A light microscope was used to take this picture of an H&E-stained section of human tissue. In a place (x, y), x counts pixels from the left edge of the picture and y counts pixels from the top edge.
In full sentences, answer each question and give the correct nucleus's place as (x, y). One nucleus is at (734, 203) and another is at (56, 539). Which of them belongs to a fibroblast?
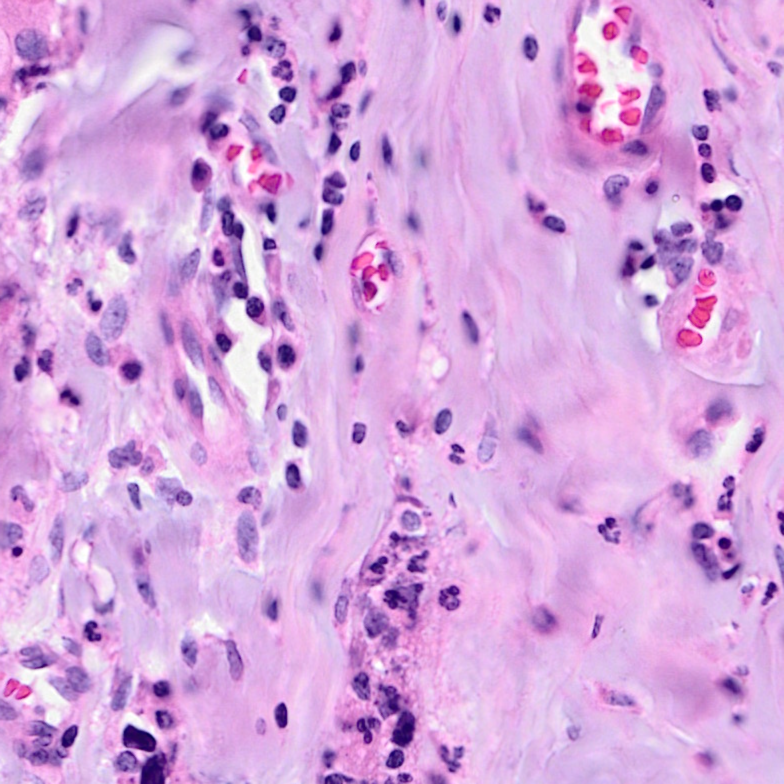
Heads up, the nucleus at (56, 539) is the one that belongs to a fibroblast.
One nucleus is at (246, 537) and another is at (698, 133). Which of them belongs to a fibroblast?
The nucleus contained in a fibroblast is the one at (246, 537).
